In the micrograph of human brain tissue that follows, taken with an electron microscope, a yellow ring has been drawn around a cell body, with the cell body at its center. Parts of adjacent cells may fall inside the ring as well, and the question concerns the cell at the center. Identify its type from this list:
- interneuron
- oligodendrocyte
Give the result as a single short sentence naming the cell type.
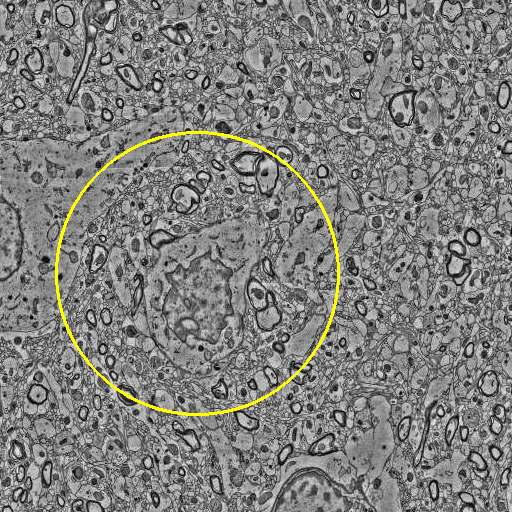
The ring is centered on an interneuron.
